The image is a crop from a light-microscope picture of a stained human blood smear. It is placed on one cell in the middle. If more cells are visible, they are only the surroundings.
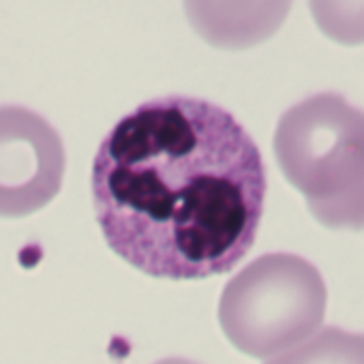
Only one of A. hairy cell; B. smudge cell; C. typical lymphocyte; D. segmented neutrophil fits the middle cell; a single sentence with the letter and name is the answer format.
Here the right option is D, as the cell in the middle is a segmented neutrophil.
